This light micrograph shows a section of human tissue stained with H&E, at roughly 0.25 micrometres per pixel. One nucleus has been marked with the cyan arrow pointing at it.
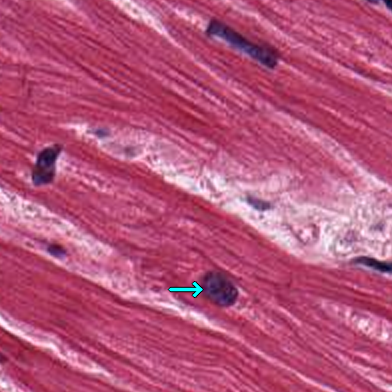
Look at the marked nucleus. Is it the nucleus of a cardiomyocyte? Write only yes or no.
yes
